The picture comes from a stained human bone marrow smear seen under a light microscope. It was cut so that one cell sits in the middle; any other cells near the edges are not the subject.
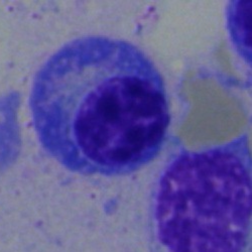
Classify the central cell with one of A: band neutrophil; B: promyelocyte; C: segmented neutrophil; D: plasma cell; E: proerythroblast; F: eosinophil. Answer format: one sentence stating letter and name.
Since the cell in the centre is a plasma cell, the correct option is D.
